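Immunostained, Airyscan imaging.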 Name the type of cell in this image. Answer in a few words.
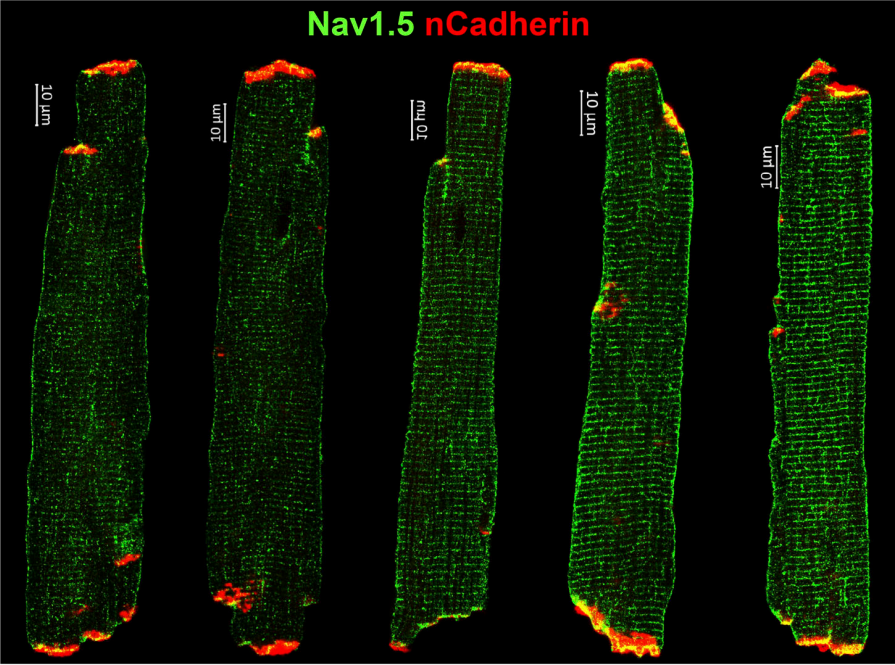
myocytes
